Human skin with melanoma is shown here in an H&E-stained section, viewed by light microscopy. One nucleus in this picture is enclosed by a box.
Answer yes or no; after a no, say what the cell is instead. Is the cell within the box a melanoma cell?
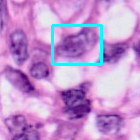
Yes.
